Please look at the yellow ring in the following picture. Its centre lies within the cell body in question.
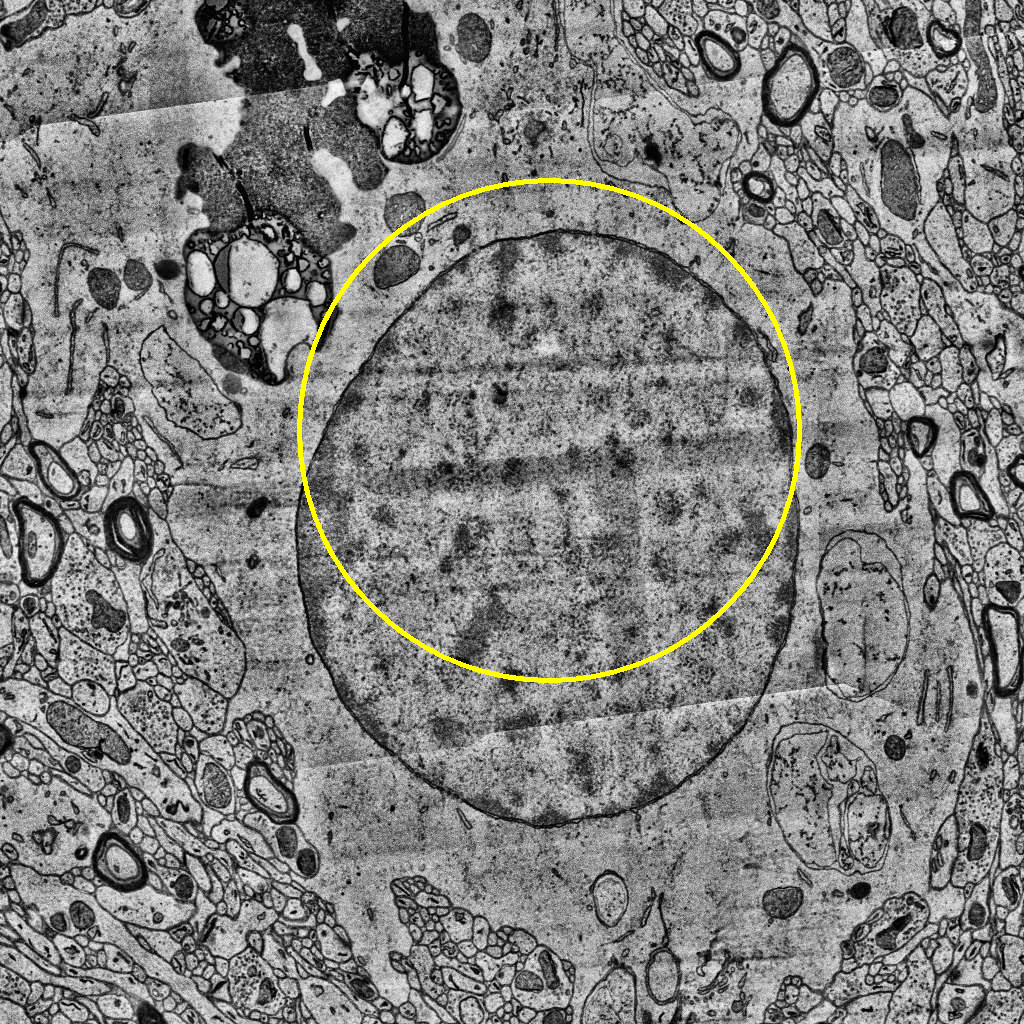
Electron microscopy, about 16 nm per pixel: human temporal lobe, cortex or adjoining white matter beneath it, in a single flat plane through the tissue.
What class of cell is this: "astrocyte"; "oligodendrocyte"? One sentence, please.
The centre of the ring lies in the cell body of an astrocyte.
